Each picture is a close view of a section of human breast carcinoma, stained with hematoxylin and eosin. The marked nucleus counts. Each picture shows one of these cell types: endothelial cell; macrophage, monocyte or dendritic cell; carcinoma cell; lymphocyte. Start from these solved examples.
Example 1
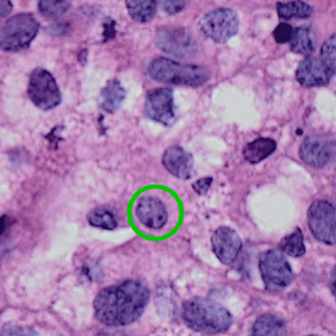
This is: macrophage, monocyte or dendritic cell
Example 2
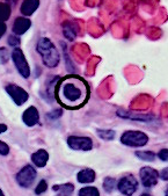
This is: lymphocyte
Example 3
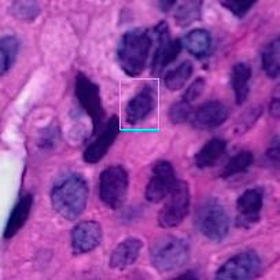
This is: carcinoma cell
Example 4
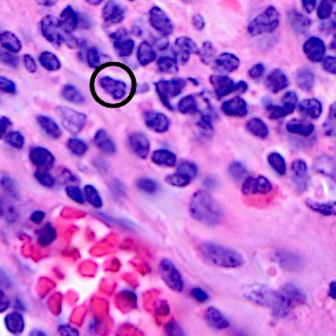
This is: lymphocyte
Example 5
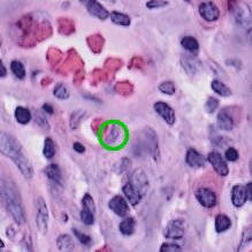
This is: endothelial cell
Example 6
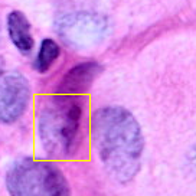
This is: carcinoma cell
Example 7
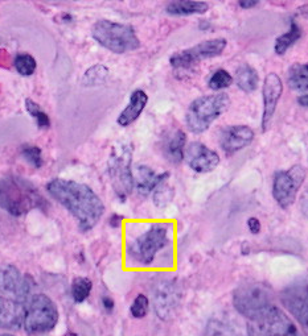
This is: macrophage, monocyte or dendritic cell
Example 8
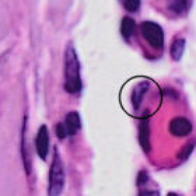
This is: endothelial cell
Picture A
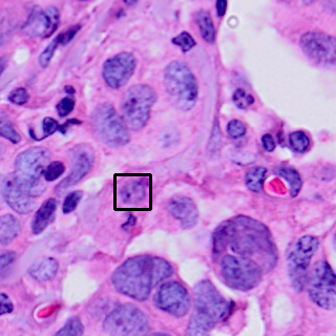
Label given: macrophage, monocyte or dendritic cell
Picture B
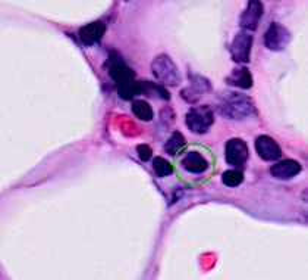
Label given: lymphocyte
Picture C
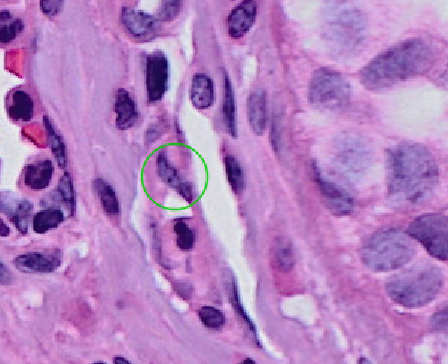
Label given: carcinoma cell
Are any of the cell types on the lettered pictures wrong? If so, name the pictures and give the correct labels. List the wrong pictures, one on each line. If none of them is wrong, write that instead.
C: change carcinoma cell to endothelial cell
